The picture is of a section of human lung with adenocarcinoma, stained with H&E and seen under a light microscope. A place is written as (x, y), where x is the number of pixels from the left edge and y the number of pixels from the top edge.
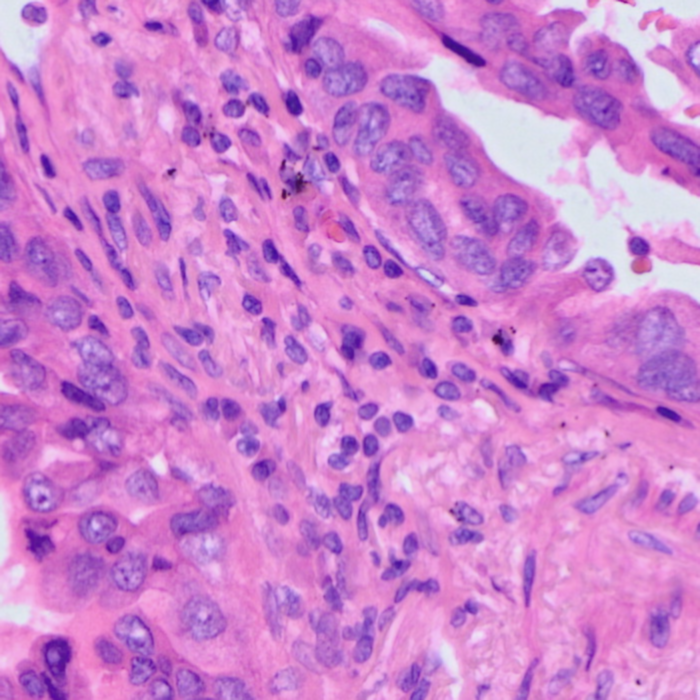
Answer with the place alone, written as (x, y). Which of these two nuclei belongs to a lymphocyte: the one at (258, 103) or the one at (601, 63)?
(258, 103)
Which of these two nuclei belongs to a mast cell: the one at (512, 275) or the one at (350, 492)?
(350, 492)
